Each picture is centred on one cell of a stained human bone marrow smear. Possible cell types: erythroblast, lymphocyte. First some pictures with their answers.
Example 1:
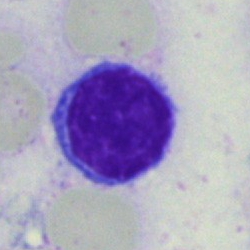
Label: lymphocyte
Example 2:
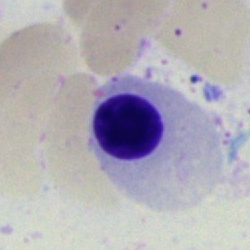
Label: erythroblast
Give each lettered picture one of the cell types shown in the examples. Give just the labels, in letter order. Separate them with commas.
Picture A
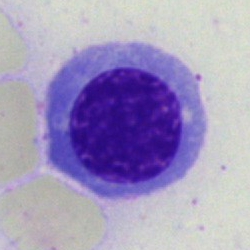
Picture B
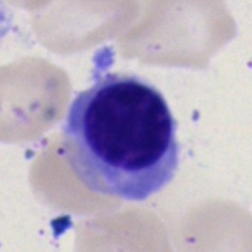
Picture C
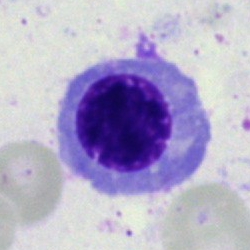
erythroblast, erythroblast, erythroblast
